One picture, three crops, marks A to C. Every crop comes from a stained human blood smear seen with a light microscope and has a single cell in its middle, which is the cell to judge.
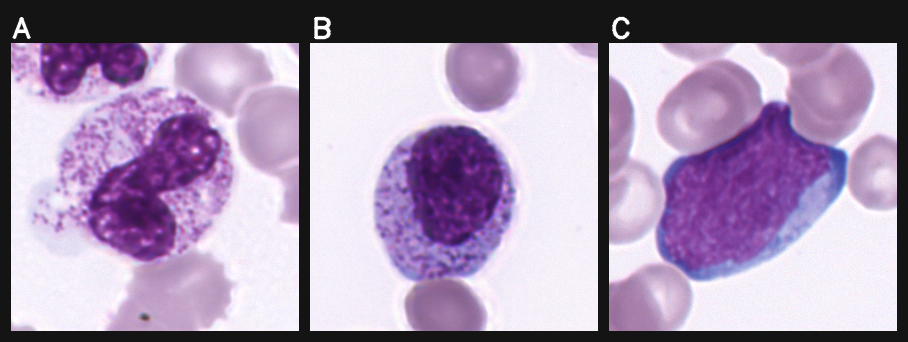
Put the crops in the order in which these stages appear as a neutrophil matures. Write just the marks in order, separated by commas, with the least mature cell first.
C, B, A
